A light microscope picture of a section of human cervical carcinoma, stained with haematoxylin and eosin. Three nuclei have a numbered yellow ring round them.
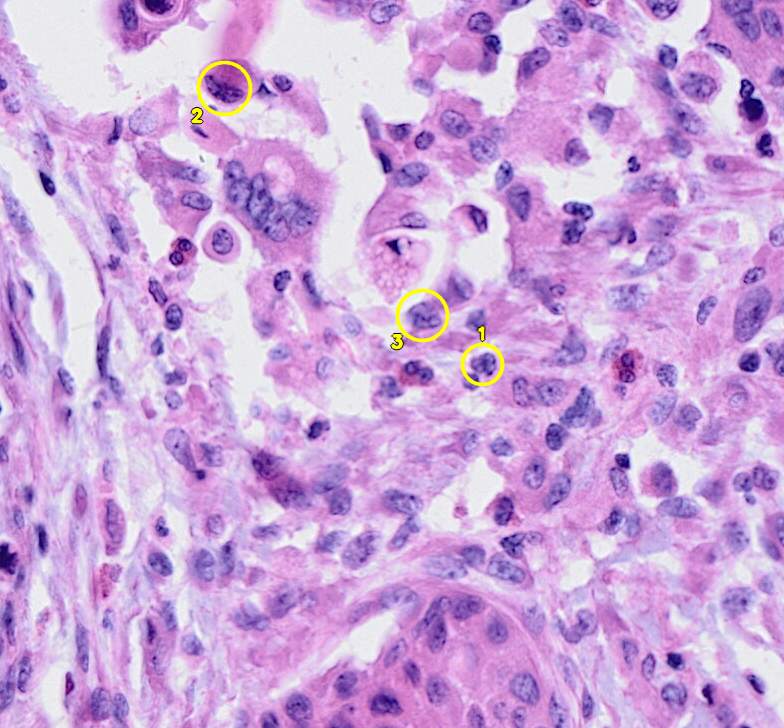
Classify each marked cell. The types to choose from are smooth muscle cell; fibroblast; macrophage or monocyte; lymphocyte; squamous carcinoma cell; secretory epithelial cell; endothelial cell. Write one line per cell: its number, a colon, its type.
1: lymphocyte
2: squamous carcinoma cell
3: macrophage or monocyte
